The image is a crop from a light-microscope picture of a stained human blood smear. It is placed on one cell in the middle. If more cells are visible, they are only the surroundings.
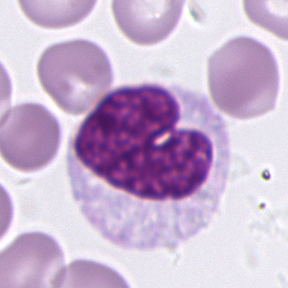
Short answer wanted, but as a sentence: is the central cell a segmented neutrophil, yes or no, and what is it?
No, the cell in the middle should be called a band neutrophil instead of a segmented neutrophil.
